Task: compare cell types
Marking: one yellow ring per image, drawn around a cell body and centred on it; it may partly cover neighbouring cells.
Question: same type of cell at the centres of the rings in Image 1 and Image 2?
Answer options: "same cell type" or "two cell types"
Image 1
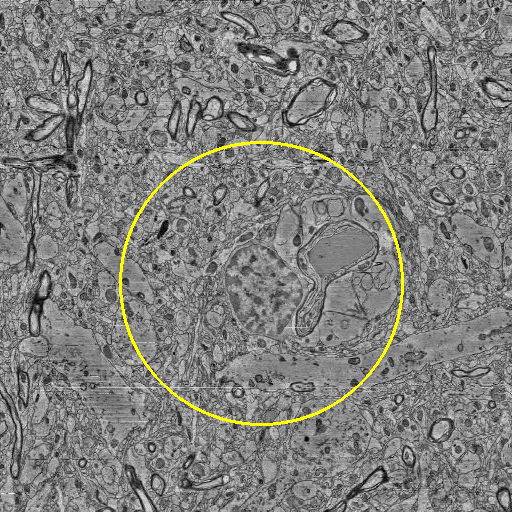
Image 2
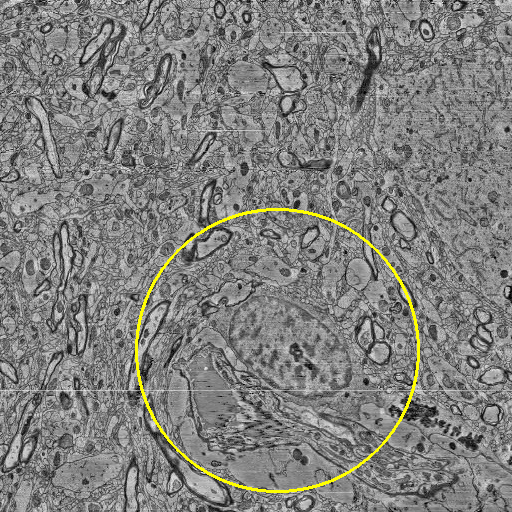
same cell type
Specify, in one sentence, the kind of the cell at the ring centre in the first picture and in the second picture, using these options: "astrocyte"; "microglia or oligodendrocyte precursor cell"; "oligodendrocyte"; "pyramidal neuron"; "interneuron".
Each of the two rings is centred on an oligodendrocyte.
